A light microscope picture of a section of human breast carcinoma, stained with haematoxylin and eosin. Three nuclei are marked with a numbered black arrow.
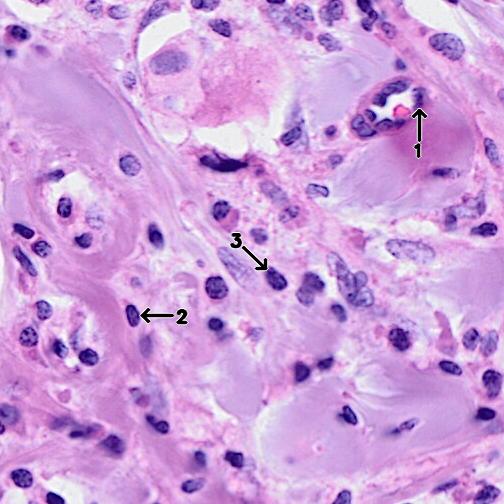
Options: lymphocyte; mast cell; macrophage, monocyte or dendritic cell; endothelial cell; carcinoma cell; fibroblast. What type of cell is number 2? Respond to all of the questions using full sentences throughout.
The cell bearing label 2 corresponds to a lymphocyte.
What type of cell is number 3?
The cell numbered 3 has been identified as a lymphocyte.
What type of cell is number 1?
The cell marked with number 1 is an endothelial cell.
